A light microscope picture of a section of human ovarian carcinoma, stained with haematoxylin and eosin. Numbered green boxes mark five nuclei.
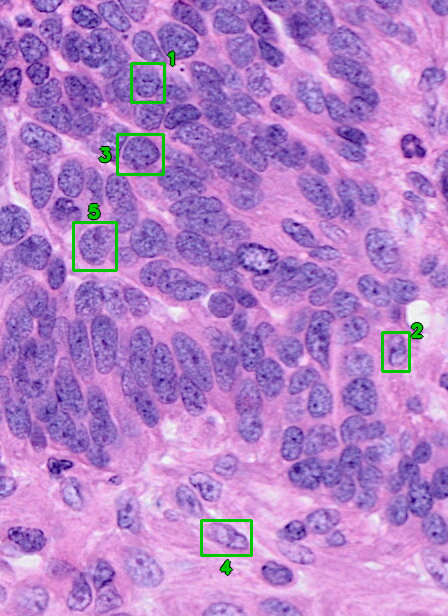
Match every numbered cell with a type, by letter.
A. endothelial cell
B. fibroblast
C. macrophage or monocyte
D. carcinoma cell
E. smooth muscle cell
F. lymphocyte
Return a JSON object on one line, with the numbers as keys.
{"1": "D", "2": "B", "3": "D", "4": "B", "5": "D"}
